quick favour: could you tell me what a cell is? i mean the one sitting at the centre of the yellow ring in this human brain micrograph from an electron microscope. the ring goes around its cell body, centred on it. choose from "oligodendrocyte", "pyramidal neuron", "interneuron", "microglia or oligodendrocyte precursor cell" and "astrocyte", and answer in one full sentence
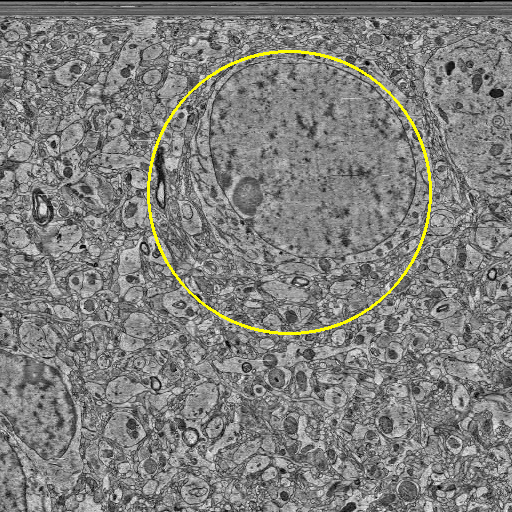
That's a pyramidal neuron, the cell sitting at the centre of the yellow ring.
